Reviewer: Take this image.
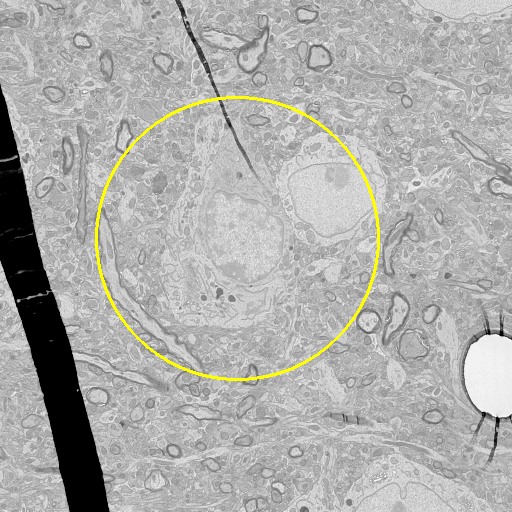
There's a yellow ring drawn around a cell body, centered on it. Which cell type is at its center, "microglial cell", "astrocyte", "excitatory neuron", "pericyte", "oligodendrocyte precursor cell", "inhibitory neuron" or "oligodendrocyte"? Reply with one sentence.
At the center of the yellow ring is an oligodendrocyte.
